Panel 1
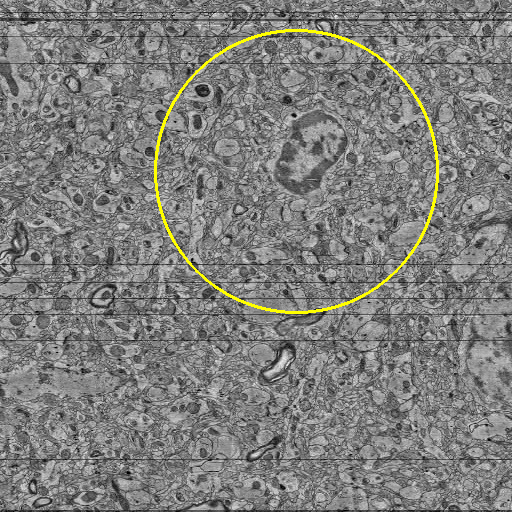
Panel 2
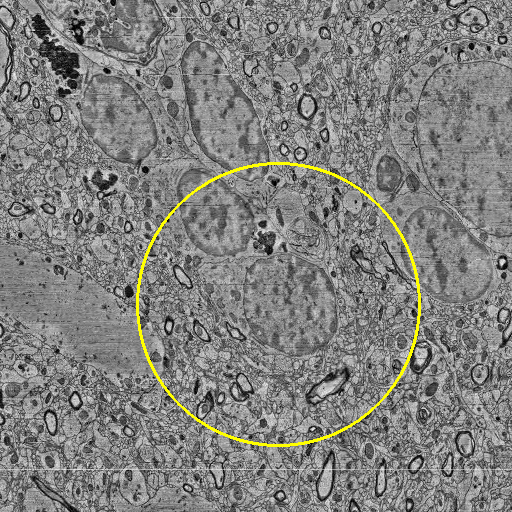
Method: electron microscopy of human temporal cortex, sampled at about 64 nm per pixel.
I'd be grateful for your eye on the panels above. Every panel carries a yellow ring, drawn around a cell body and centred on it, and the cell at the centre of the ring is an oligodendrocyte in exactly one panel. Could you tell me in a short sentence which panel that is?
Panel 2 is the one with it at the centre of the ring.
